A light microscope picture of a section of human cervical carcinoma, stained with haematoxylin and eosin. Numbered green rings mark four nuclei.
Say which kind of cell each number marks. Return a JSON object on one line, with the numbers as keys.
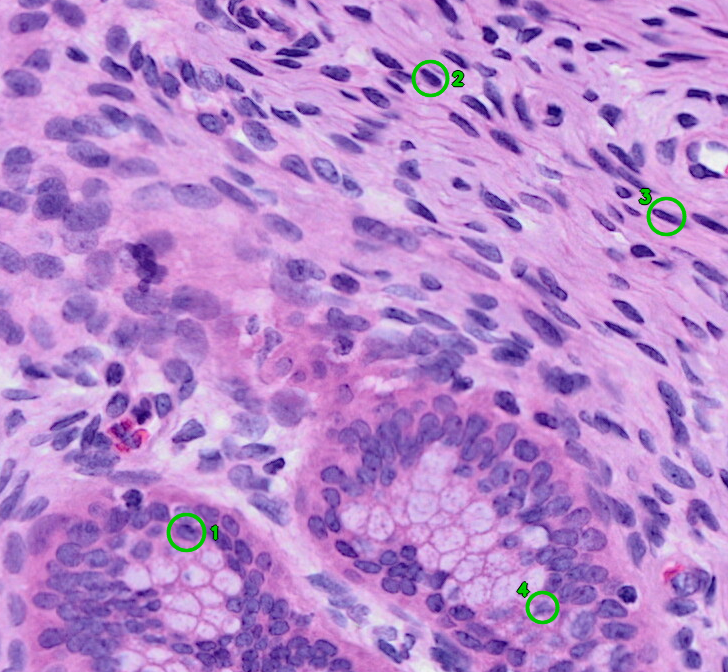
{"1": "secretory epithelial cell", "2": "fibroblast", "3": "fibroblast", "4": "secretory epithelial cell"}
